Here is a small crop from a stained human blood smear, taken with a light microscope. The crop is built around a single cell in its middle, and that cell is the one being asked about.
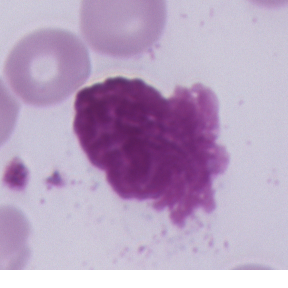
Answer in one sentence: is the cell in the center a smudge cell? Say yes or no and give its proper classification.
Yes, the crop's central cell is a smudge cell.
